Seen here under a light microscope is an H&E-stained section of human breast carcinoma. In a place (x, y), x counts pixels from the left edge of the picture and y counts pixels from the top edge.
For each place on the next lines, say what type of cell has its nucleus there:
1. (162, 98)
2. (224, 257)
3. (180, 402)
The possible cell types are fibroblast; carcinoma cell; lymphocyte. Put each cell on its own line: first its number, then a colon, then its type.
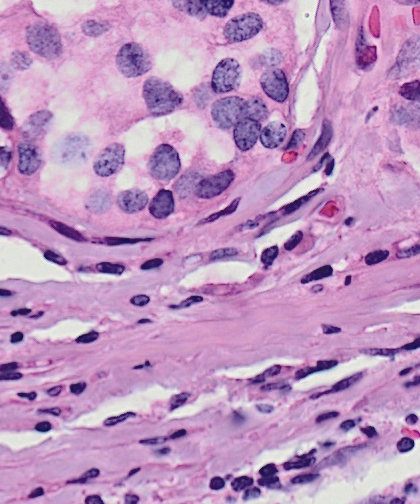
1: carcinoma cell
2: fibroblast
3: fibroblast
